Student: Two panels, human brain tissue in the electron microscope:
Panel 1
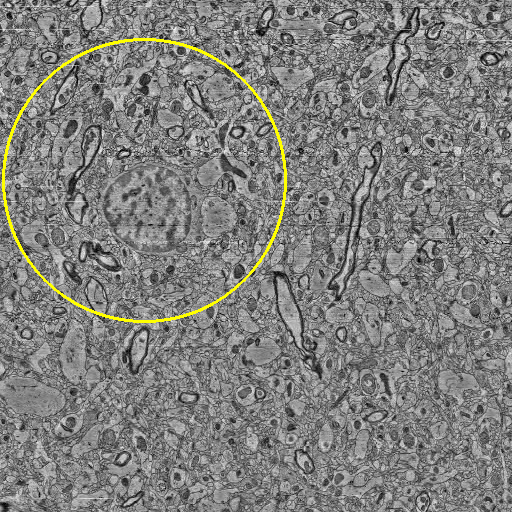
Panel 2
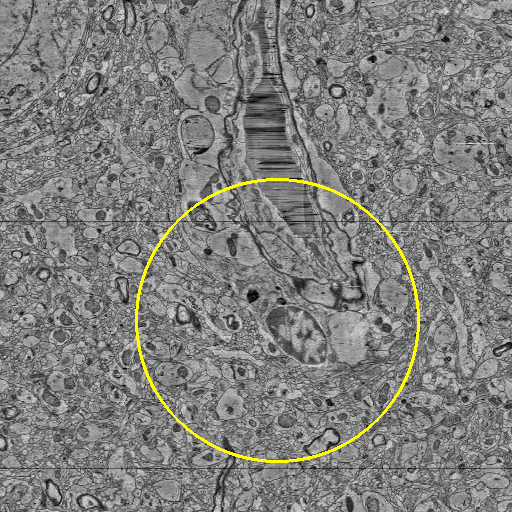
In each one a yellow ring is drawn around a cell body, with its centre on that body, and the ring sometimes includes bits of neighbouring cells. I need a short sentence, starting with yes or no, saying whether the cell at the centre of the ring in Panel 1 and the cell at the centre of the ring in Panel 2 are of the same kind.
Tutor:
No, they are two kinds of cell.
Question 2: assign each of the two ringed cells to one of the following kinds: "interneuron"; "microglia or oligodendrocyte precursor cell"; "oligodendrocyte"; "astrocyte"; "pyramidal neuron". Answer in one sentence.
The two cells are an oligodendrocyte in the first picture and a microglial cell or oligodendrocyte precursor cell in the second.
